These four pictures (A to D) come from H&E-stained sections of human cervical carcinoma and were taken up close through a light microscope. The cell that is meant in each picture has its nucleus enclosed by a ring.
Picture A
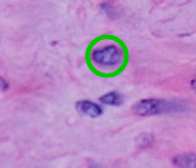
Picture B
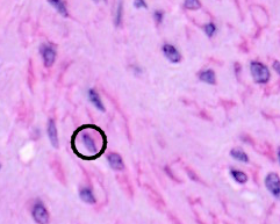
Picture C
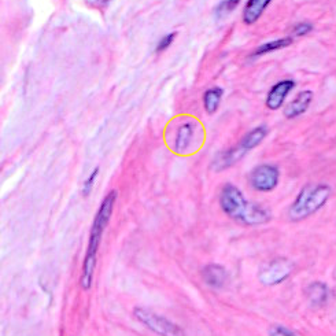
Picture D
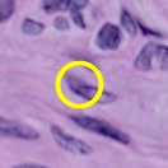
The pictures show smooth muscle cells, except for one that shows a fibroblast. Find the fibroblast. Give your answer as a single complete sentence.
The cell in picture D is the fibroblast.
